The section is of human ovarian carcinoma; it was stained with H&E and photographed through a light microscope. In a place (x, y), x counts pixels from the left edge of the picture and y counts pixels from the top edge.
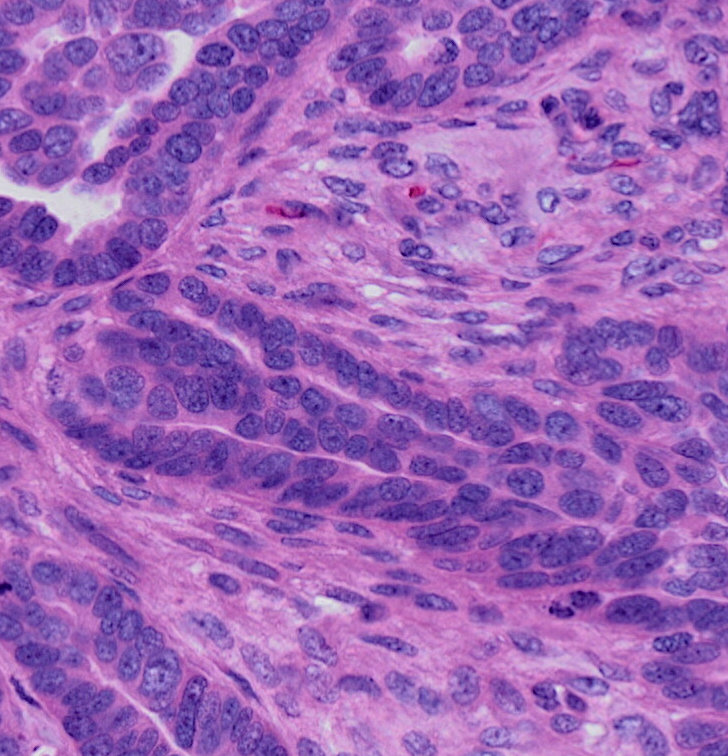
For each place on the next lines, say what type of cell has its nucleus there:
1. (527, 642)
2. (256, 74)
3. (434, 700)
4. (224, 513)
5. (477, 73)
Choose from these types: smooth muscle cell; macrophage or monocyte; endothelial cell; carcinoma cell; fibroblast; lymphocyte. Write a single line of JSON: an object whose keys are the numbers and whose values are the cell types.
{"1": "fibroblast", "2": "carcinoma cell", "3": "fibroblast", "4": "fibroblast", "5": "carcinoma cell"}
